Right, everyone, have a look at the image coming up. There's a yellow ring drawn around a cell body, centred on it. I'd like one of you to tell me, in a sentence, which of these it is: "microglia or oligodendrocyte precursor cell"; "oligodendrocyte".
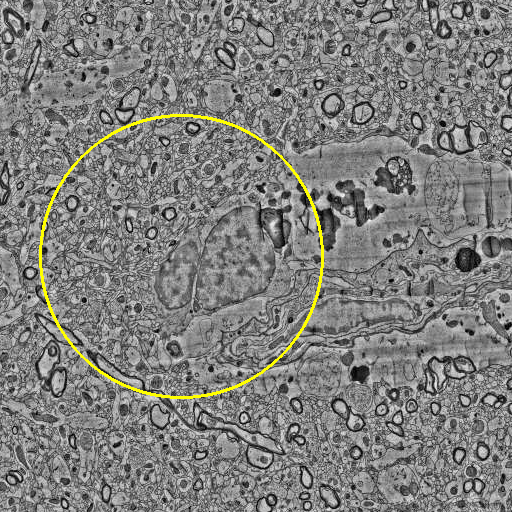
The yellow ring sits on an oligodendrocyte.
